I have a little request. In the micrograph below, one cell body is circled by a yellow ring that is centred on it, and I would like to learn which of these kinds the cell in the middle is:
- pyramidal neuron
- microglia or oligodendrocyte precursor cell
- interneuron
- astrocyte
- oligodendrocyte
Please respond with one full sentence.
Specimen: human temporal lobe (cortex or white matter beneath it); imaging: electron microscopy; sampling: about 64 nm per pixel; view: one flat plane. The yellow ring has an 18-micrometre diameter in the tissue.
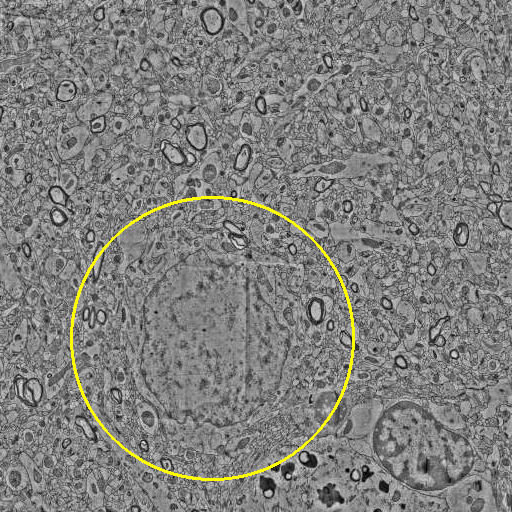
The cell sitting in the middle of the yellow ring in the micrograph is an interneuron.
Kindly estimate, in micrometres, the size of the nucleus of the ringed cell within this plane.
In this plane, about 11 micrometres in length and 10 in width.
